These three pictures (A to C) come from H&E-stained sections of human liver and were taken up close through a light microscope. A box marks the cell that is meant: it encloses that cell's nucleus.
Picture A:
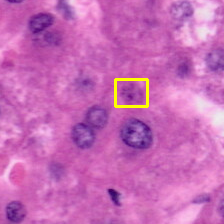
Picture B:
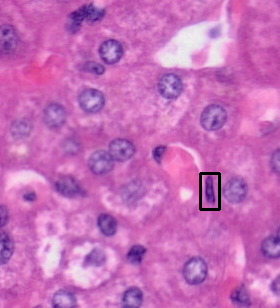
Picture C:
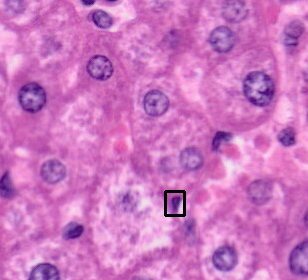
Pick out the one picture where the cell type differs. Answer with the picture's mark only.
A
